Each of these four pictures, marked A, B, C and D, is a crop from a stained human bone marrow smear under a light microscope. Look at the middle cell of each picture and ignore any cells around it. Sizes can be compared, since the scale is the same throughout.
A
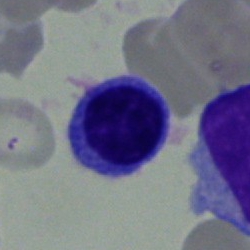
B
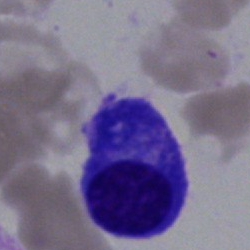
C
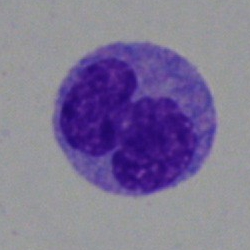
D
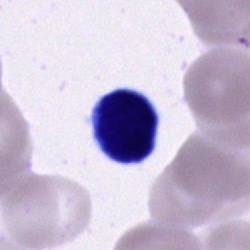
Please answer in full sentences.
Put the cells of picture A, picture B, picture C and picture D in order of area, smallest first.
The order is D, A, B, C, beginning with the smallest.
